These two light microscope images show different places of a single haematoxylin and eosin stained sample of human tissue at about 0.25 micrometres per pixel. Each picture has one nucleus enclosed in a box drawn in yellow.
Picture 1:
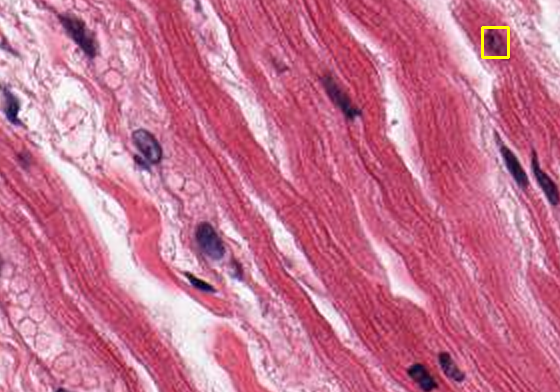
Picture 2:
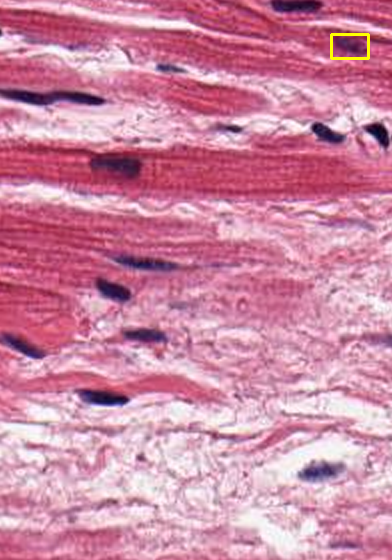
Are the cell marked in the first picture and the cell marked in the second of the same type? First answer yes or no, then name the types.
Yes, both are cardiomyocytes.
